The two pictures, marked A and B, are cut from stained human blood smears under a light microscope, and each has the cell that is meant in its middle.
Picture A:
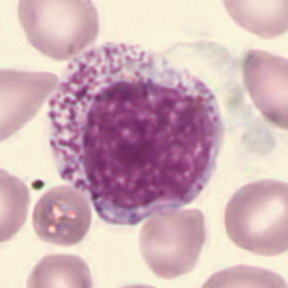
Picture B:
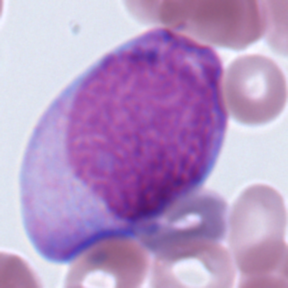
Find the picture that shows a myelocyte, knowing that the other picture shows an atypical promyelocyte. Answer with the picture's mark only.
A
